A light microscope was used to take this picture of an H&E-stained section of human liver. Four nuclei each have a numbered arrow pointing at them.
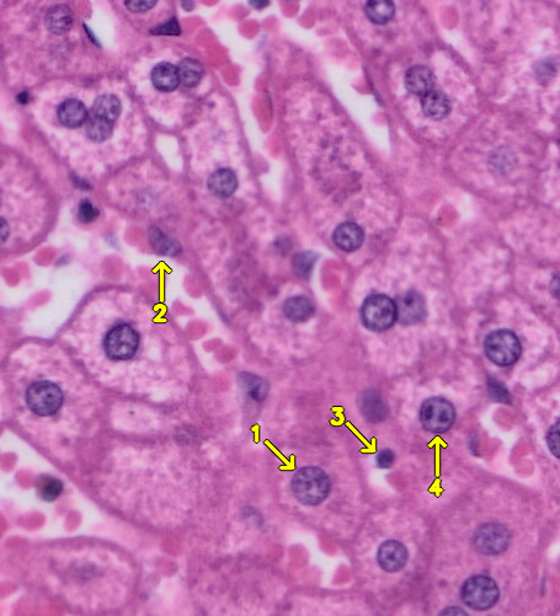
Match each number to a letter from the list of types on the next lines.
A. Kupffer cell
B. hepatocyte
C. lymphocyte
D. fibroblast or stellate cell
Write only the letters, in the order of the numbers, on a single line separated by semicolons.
B; A; C; B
